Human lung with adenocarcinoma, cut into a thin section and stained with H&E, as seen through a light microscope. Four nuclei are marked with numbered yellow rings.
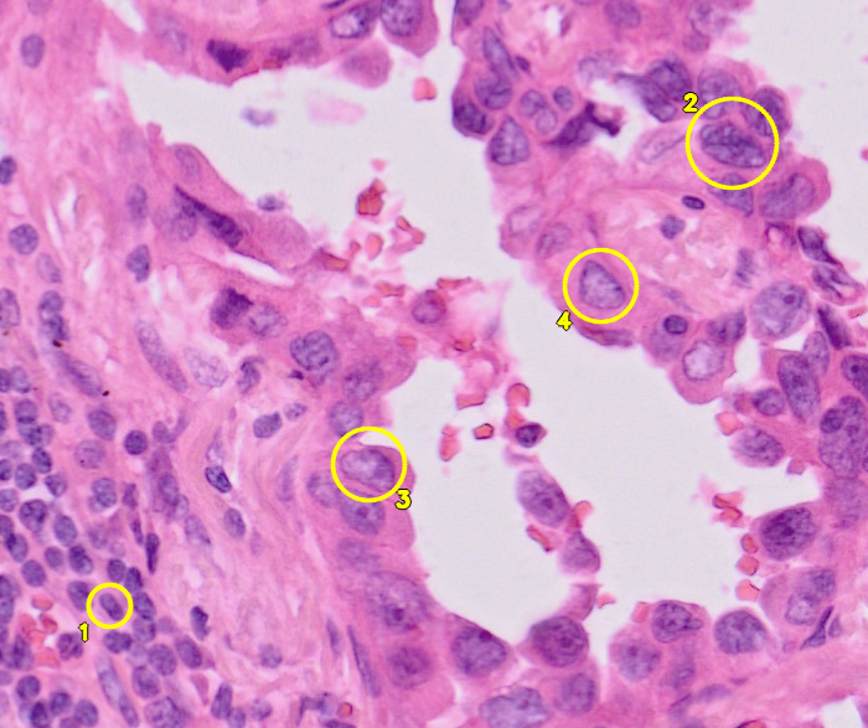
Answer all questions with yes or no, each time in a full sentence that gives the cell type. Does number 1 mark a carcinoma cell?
No, the cell carrying number 1 is a lymphocyte rather than a carcinoma cell.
